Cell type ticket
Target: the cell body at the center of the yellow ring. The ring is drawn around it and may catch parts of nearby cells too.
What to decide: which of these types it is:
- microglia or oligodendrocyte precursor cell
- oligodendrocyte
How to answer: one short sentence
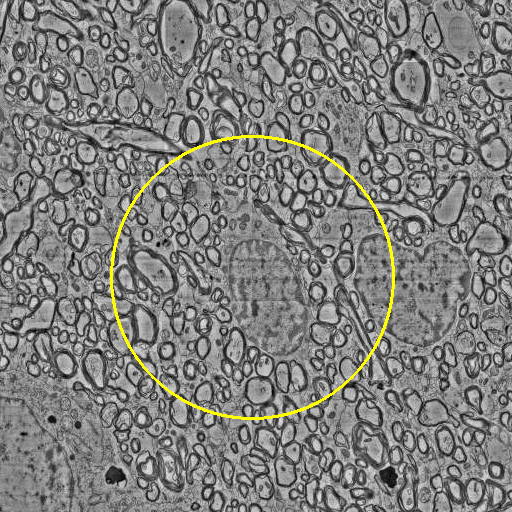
The cell at the center of the ring is an oligodendrocyte.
